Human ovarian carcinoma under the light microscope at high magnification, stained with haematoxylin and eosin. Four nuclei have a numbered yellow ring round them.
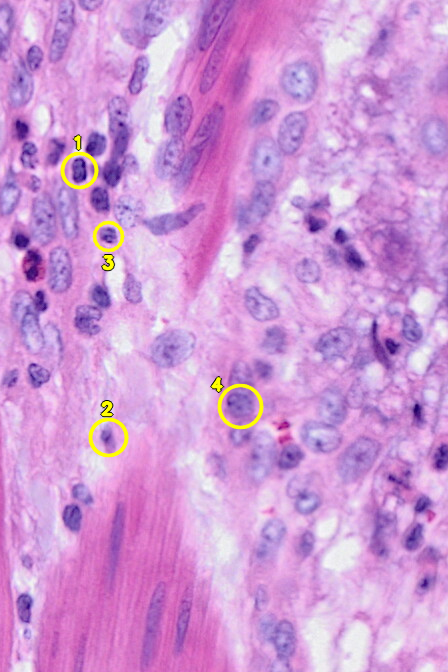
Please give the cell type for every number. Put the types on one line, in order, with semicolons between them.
lymphocyte; macrophage or monocyte; lymphocyte; endothelial cell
